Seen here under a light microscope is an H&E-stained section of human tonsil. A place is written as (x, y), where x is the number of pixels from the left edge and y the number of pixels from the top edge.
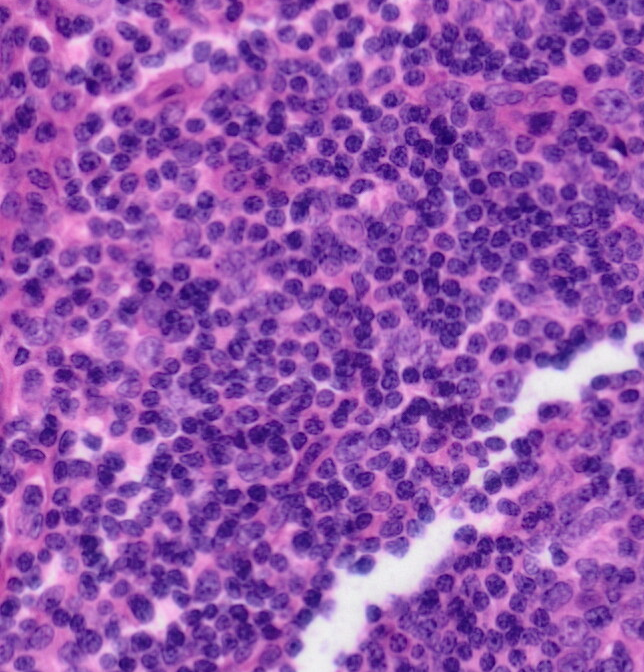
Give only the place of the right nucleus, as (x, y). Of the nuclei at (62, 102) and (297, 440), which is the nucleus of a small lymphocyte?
(297, 440)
